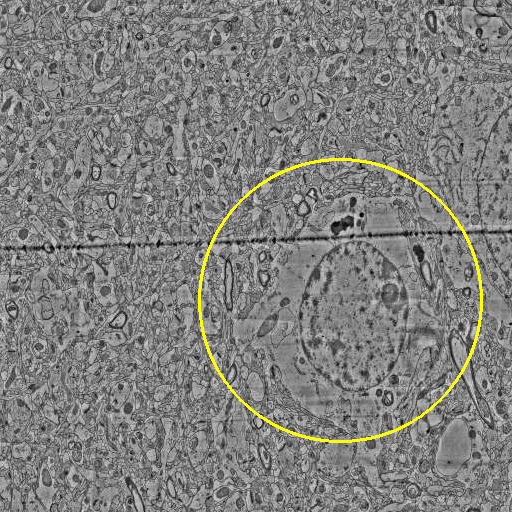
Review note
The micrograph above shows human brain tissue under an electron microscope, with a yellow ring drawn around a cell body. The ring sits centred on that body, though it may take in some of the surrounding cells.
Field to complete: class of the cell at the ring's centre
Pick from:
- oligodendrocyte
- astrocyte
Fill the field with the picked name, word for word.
astrocyte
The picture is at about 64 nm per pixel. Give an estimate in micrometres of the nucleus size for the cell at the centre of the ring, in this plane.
Approximately 10 micrometres long and 7 micrometres wide, in this plane.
